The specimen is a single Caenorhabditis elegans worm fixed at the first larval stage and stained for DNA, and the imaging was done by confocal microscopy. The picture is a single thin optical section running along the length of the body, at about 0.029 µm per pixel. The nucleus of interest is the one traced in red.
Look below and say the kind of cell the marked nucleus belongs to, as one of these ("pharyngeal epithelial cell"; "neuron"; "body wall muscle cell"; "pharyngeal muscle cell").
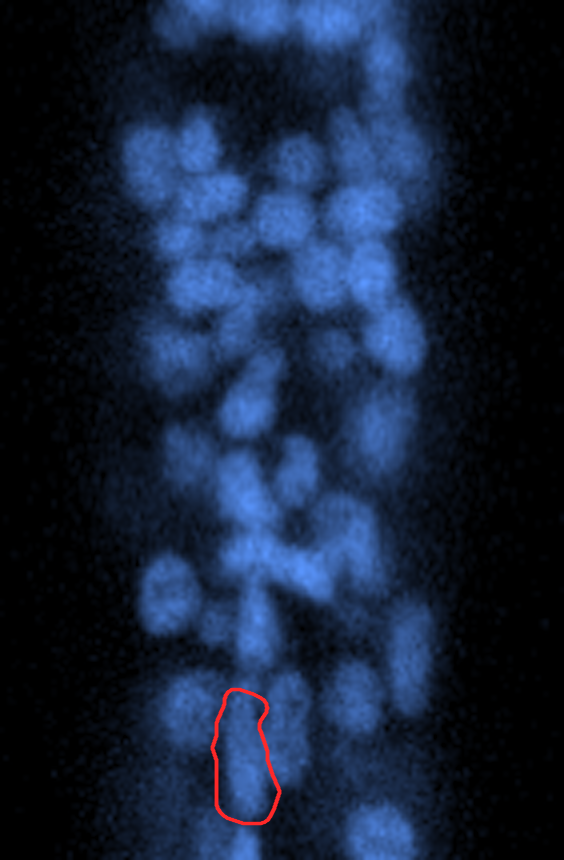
pharyngeal epithelial cell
